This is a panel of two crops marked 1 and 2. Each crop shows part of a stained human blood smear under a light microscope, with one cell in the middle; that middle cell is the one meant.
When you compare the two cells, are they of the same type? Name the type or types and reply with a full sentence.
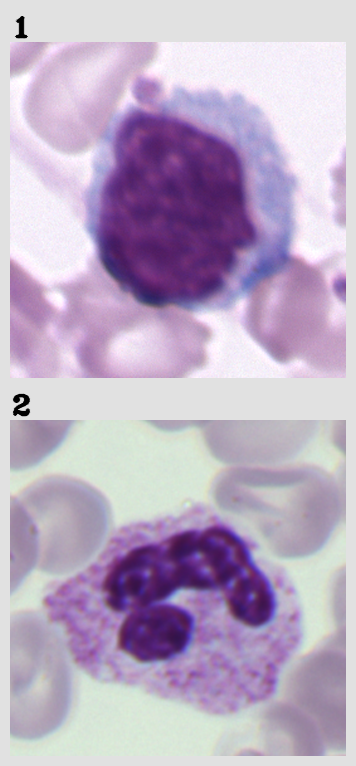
No, crop 1 is where a monocyte is, and crop 2 is where a neutrophil is.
